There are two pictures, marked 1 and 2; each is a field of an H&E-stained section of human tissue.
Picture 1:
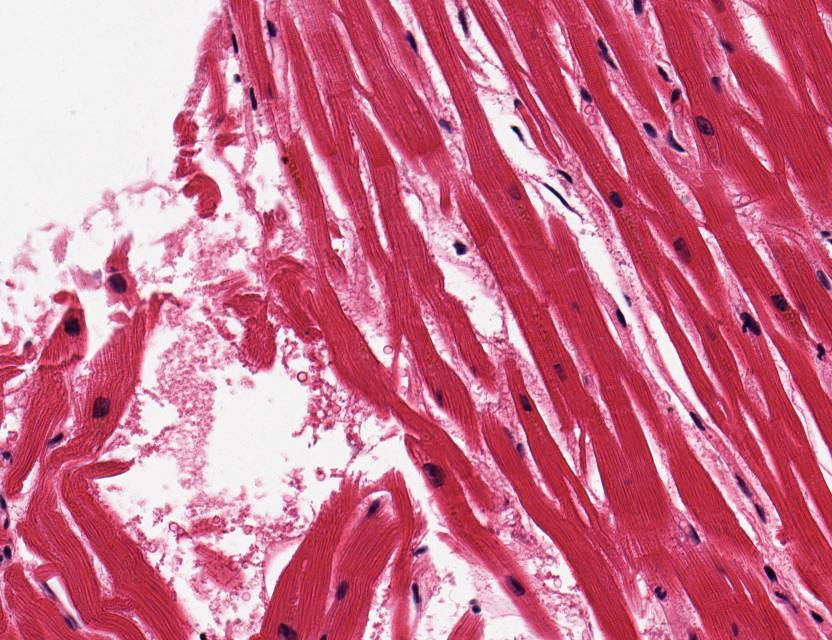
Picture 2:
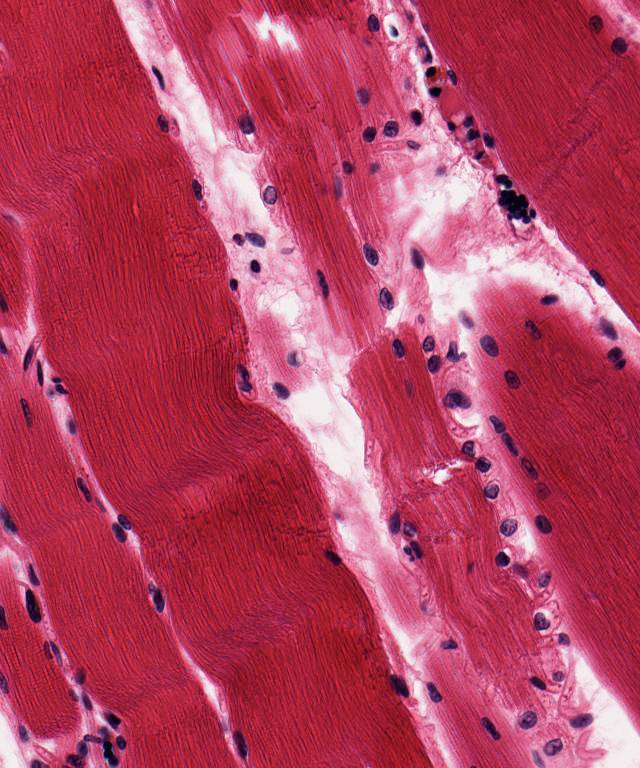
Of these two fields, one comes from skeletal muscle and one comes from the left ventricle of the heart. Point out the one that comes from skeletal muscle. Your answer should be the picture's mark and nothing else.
2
